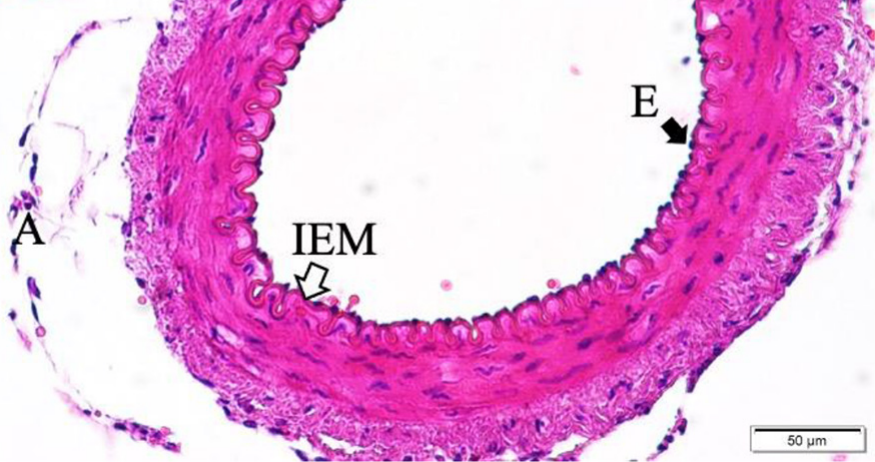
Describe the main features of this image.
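This is a cross-section of a muscular artery wall around an empty lumen. The lumen is lined by a single layer of flat endothelial cells with dark, flattened nuclei resting on a wavy, bright pink inner elastic membrane. Outside it, a thick pink layer of circularly arranged smooth muscle cells with elongated, spindle-shaped nuclei forms the media, surrounded by a paler, looser fibrous outer coat with scattered nuclei and delicate connective tissue strands.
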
